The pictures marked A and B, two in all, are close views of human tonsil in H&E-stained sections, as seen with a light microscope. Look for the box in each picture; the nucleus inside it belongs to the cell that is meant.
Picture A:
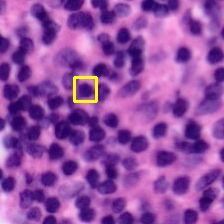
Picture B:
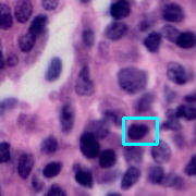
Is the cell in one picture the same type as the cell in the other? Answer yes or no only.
no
